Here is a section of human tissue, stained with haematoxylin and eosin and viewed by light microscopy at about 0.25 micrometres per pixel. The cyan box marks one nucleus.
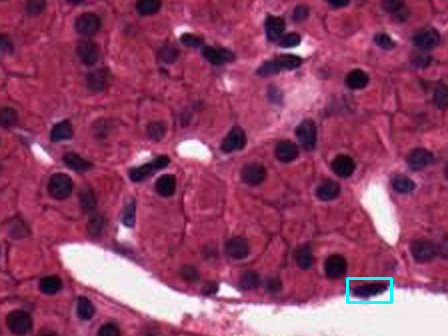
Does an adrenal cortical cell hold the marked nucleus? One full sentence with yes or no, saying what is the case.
No, rather than an adrenal cortical cell, it is a supporting cell that contains the marked nucleus.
